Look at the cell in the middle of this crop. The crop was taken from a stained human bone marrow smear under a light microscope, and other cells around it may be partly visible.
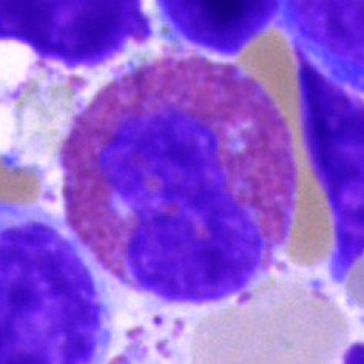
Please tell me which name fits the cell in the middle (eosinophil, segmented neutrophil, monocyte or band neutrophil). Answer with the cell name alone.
eosinophil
